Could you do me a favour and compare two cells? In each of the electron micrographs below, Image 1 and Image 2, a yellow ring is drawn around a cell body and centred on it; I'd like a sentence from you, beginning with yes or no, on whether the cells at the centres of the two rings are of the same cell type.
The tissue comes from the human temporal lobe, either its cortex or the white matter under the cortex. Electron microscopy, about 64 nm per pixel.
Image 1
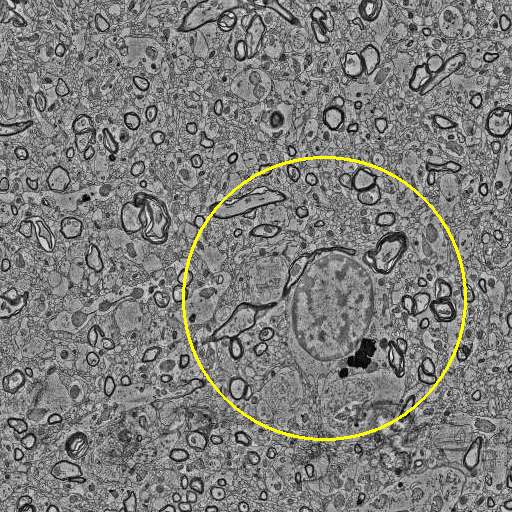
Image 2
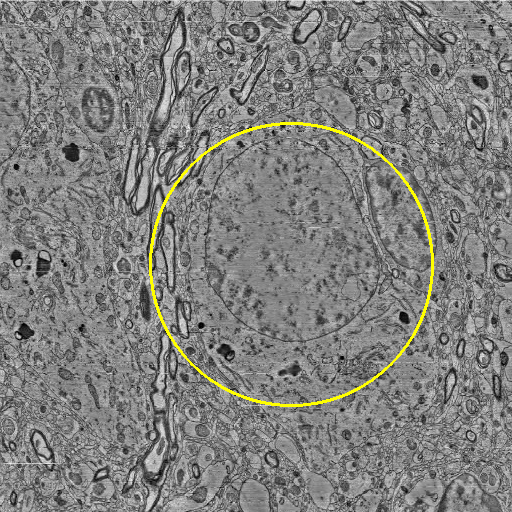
No, the two cells are of two cell types.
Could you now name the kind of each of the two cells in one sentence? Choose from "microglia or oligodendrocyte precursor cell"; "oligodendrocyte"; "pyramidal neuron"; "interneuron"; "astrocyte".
The first ring encloses an oligodendrocyte; the second ring encloses a pyramidal neuron.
